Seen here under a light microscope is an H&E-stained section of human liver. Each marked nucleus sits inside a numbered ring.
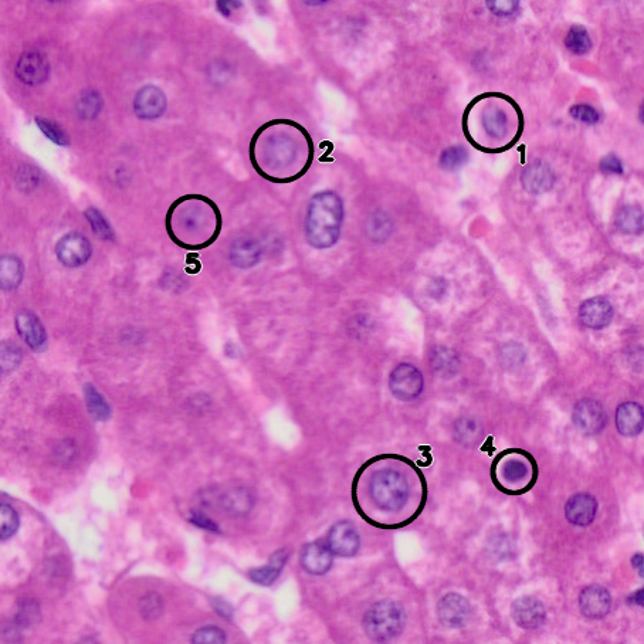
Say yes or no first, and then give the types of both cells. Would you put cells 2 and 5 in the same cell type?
Yes, by their numbers, cells 2 and 5 are both hepatocytes.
